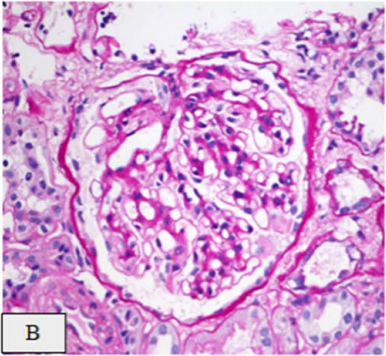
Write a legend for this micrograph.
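This glomerulus shows a lobulated tuft of capillary loops with mesangial cells and matrix, surrounded by Bowman's capsule and tubules. The capillary walls and the capsule stain magenta, and the mesangial areas between the loops contain magenta matrix with clustered dark nuclei. Many capillary lumens are open and appear as clear round spaces within the tuft. A thin clear urinary space separates the tuft from the capsule. Tubules with pale pink cytoplasm and round nuclei lie outside the capsule.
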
